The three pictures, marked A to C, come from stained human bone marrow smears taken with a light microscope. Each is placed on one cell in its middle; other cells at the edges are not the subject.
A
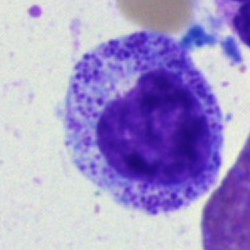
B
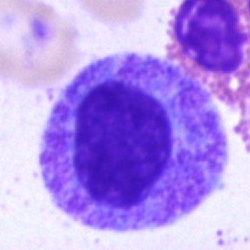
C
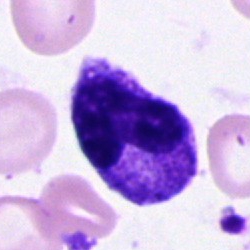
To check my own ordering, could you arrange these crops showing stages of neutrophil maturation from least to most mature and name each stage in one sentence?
Ranked from least to most mature, the sequence is crop B (a promyelocyte), crop A (a myelocyte) and crop C (a band neutrophil).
